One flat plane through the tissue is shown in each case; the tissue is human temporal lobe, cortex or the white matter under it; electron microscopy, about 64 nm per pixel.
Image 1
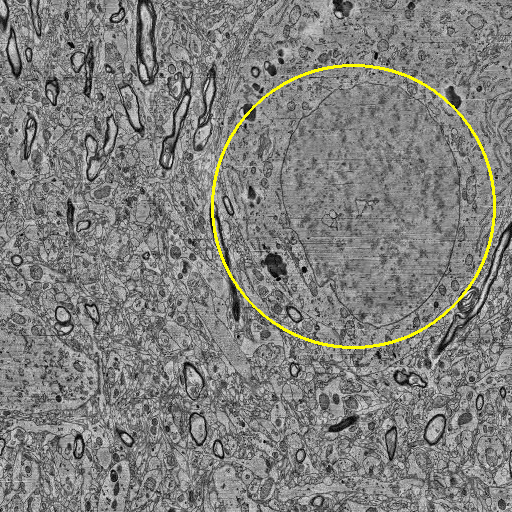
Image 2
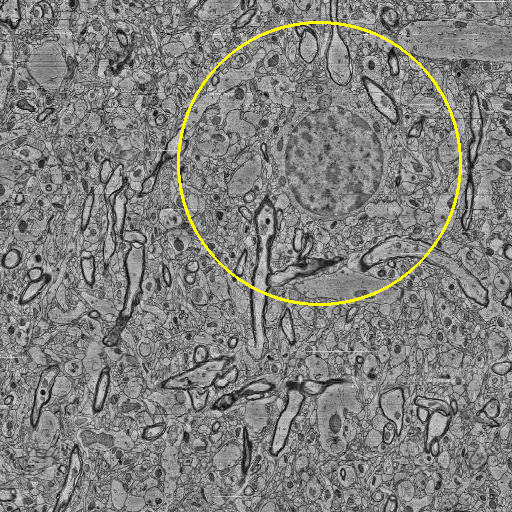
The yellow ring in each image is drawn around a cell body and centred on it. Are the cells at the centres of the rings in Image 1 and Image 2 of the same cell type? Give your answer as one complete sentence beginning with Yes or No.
No, the two cells are of two separate types.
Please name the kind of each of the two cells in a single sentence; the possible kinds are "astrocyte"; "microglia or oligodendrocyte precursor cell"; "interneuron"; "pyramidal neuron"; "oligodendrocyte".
In the first picture the ring is centred on a pyramidal neuron, and in the second on an oligodendrocyte.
